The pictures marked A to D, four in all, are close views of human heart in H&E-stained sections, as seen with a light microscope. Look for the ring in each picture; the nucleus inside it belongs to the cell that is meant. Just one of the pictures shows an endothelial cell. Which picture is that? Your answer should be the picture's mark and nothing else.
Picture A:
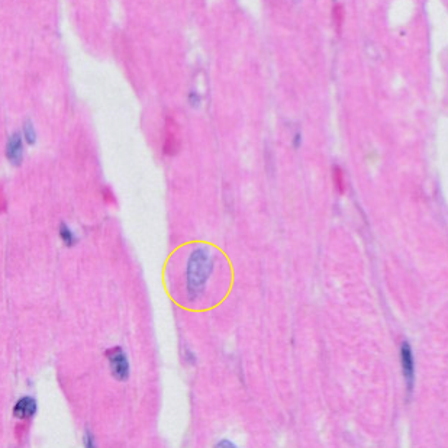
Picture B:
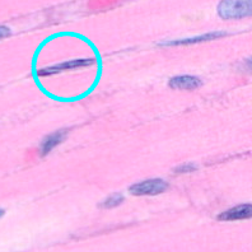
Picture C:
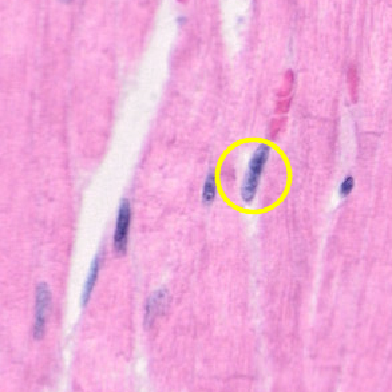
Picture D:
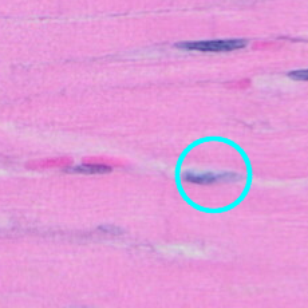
B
